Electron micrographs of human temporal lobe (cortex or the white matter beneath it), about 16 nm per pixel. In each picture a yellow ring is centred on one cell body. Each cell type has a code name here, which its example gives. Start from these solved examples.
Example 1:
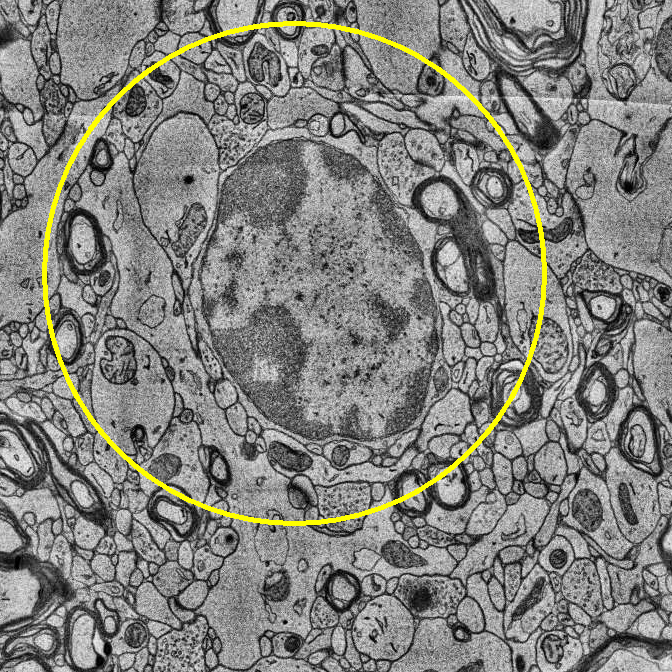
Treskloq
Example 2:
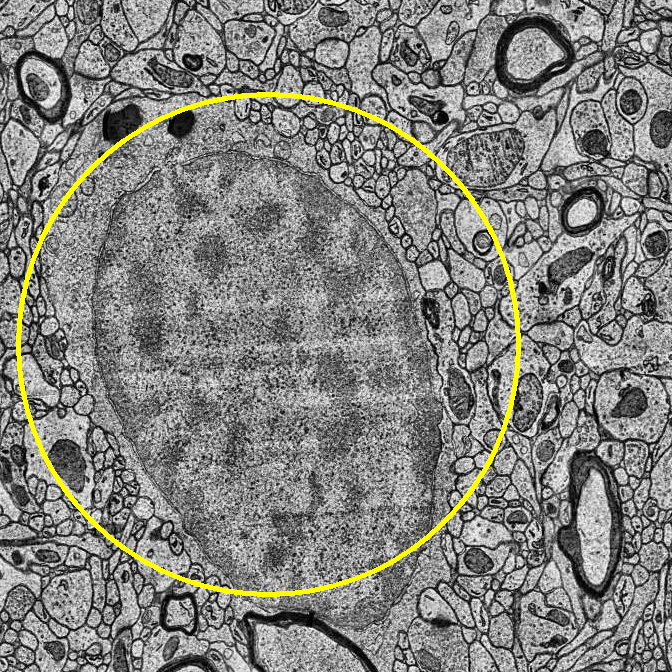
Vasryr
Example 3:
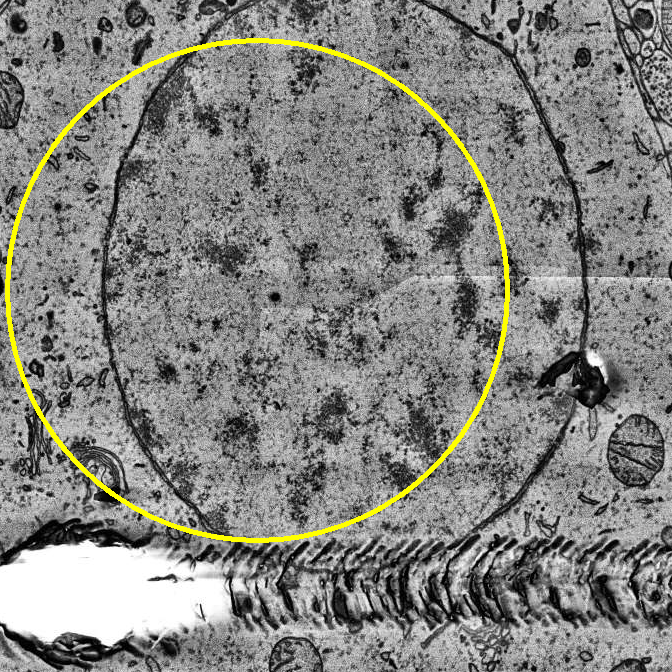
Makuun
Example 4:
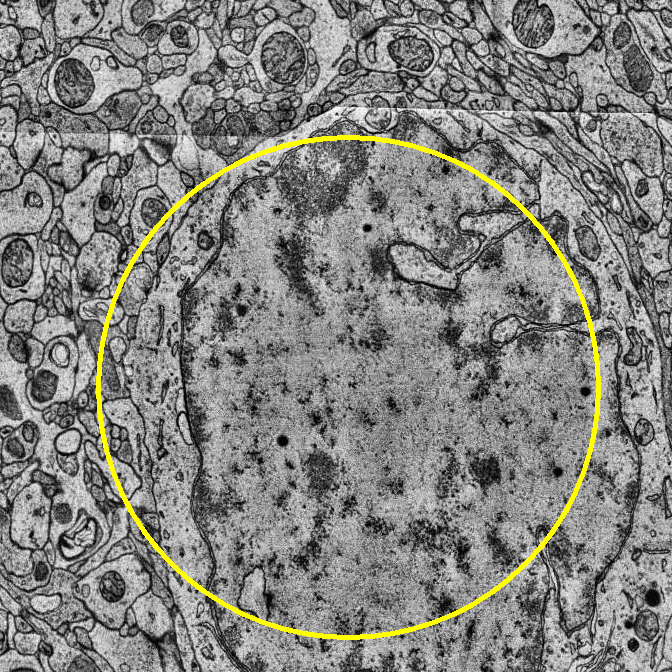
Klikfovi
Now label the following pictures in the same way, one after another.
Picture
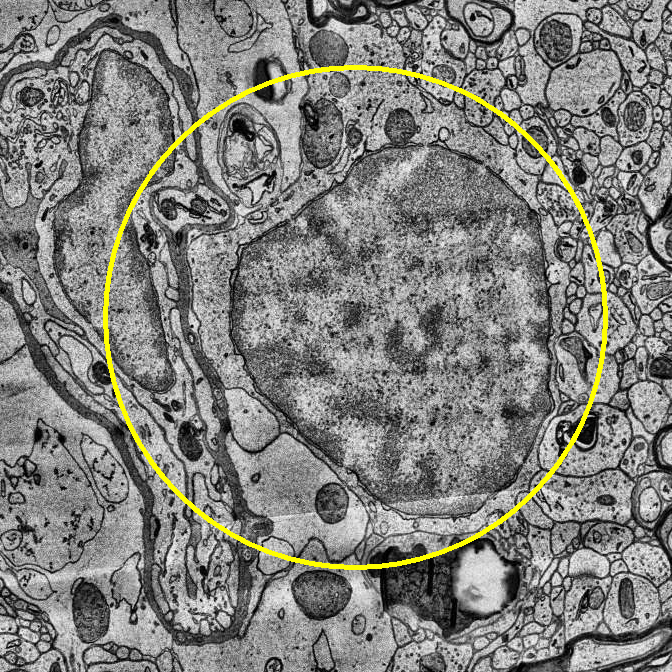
Vasryr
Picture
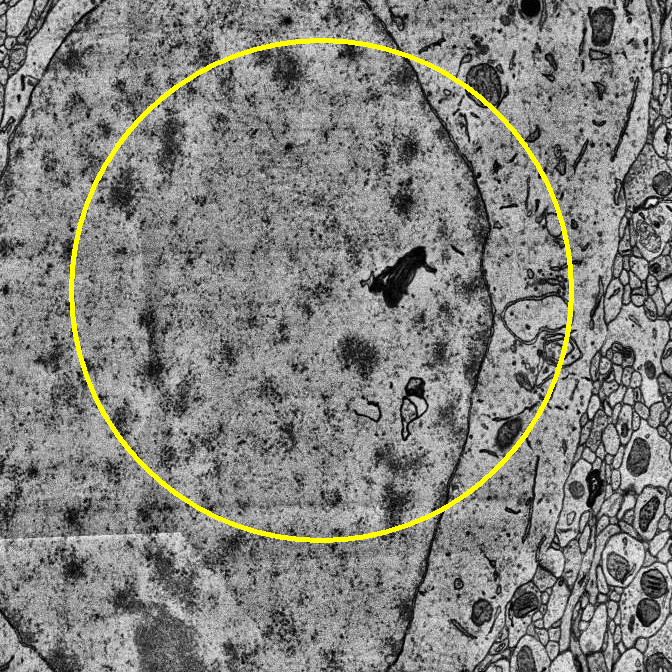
Makuun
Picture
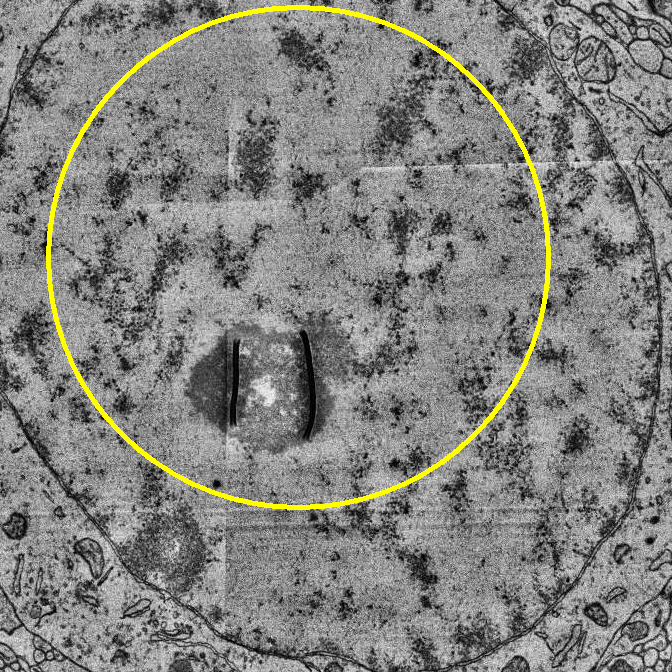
Makuun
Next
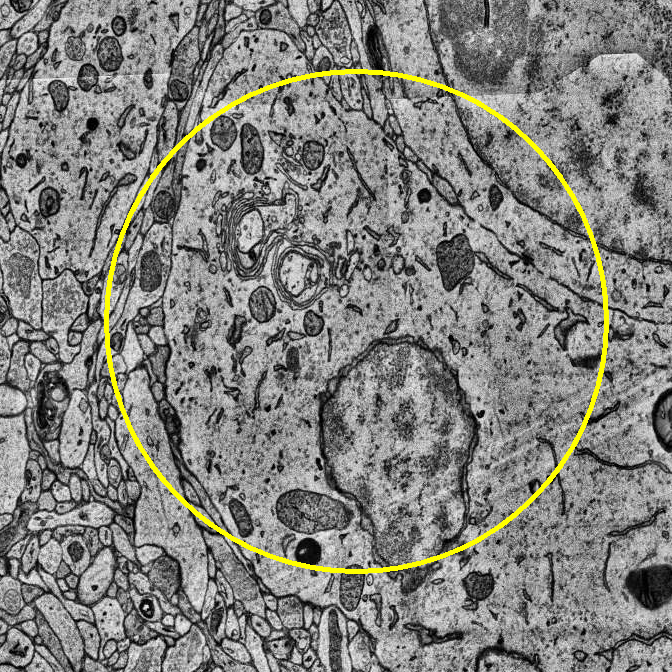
Makuun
